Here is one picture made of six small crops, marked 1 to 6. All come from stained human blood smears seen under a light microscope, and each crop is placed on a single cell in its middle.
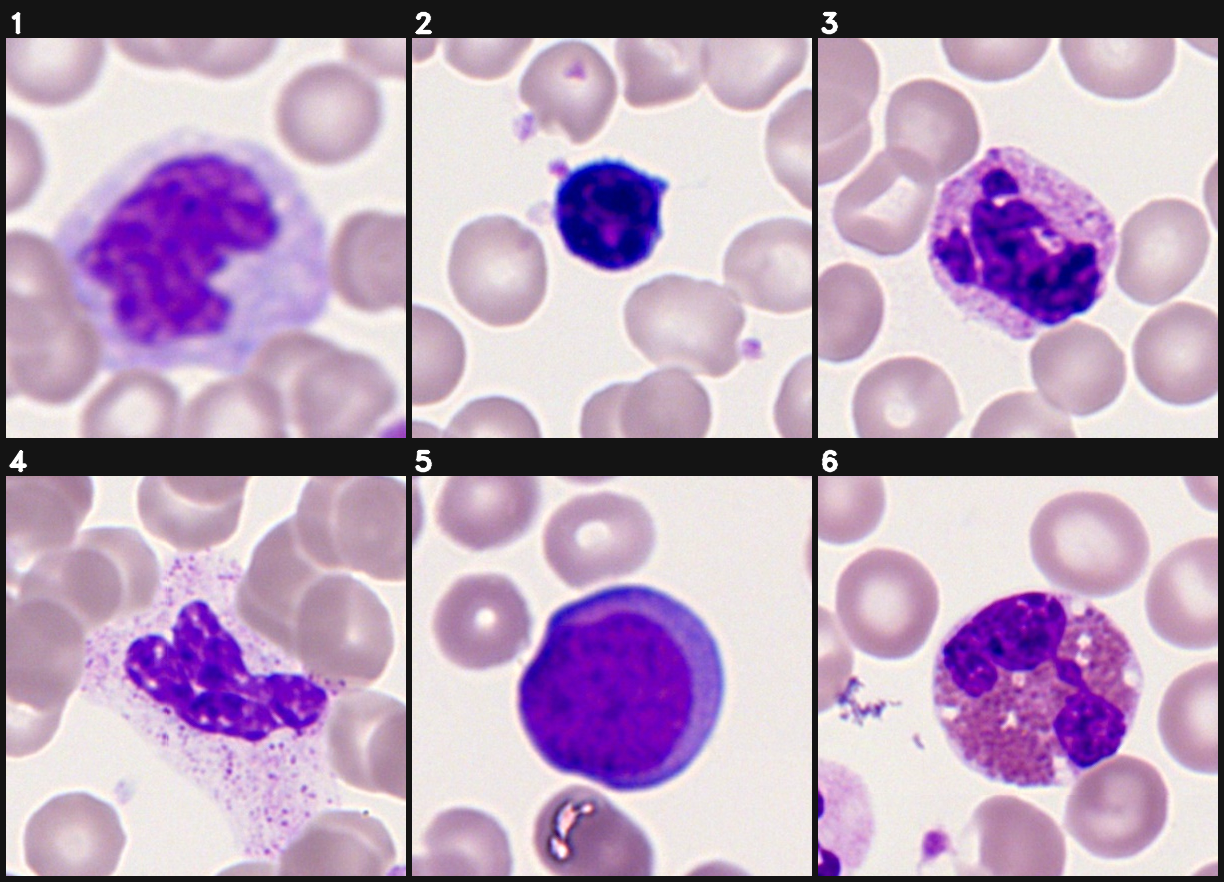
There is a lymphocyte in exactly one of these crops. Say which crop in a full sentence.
Within this set, crop 2 is the one with a lymphocyte at its center.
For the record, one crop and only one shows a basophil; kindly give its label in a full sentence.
It is in crop 3, among all the crops, that a basophil is present.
